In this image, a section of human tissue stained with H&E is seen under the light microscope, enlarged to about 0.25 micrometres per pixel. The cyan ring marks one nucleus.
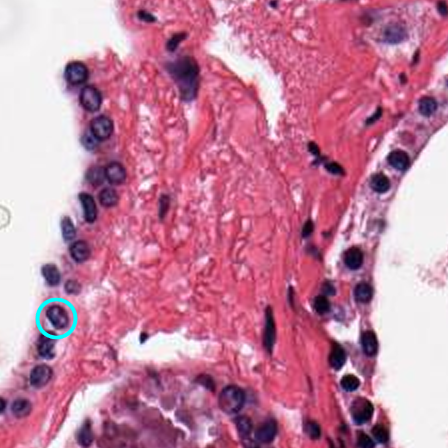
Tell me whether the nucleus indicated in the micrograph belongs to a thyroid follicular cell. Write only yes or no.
yes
